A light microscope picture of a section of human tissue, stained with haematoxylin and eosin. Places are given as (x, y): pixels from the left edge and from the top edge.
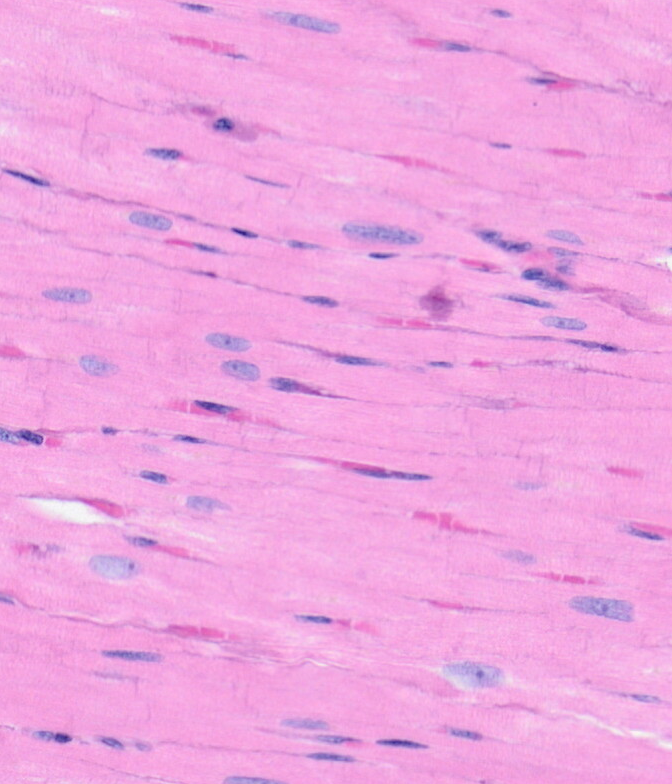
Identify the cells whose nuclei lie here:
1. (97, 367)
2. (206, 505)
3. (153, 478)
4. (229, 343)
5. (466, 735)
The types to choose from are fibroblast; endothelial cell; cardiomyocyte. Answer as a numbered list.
1. cardiomyocyte
2. cardiomyocyte
3. endothelial cell
4. cardiomyocyte
5. endothelial cell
